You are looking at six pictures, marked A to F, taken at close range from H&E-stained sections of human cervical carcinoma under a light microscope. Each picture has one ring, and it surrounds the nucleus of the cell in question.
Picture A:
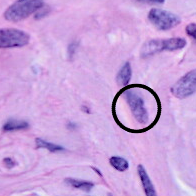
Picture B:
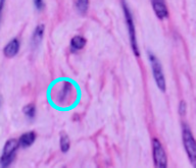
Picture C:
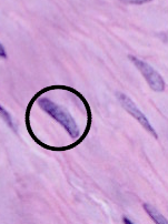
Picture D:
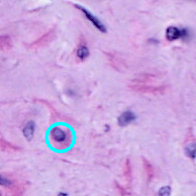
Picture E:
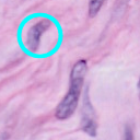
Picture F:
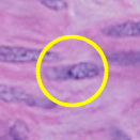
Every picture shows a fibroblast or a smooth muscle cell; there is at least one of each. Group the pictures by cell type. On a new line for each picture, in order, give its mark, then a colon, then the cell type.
A: fibroblast
B: smooth muscle cell
C: fibroblast
D: smooth muscle cell
E: smooth muscle cell
F: smooth muscle cell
